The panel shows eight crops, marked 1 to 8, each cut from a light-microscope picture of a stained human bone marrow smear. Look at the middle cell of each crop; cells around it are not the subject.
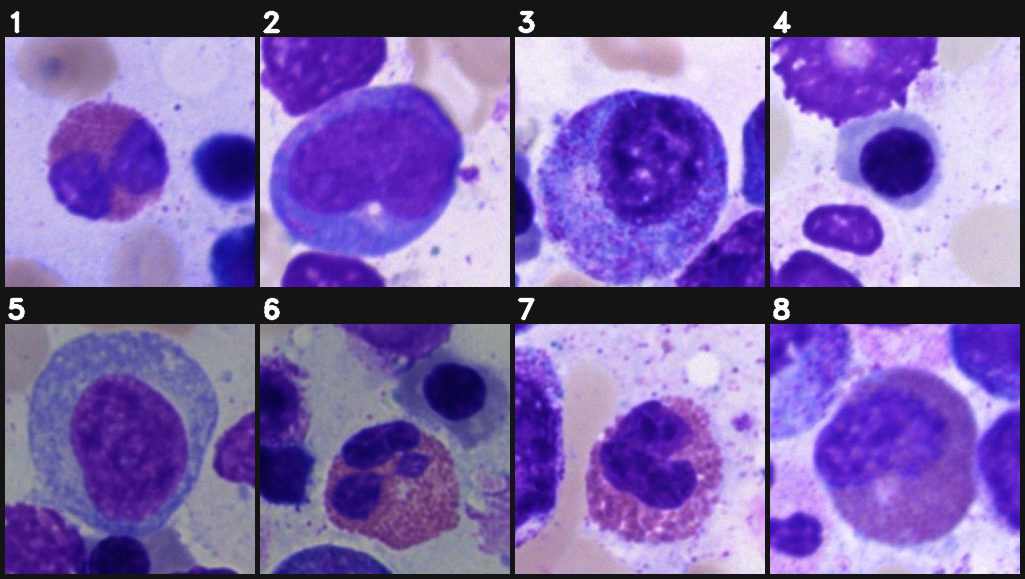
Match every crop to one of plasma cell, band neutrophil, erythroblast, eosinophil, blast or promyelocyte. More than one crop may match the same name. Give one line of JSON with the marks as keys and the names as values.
{"1": "eosinophil", "2": "promyelocyte", "3": "promyelocyte", "4": "erythroblast", "5": "blast", "6": "eosinophil", "7": "eosinophil", "8": "eosinophil"}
